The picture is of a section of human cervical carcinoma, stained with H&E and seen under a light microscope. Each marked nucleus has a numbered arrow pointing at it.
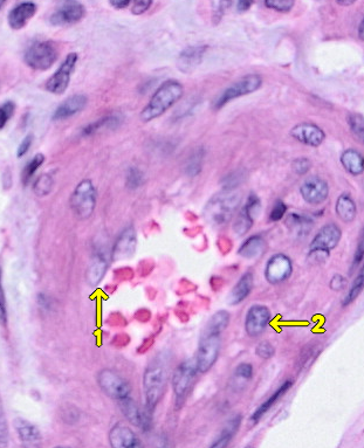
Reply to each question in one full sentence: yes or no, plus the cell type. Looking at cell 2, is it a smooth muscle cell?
Yes, the cell that number 2 points to is a smooth muscle cell.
